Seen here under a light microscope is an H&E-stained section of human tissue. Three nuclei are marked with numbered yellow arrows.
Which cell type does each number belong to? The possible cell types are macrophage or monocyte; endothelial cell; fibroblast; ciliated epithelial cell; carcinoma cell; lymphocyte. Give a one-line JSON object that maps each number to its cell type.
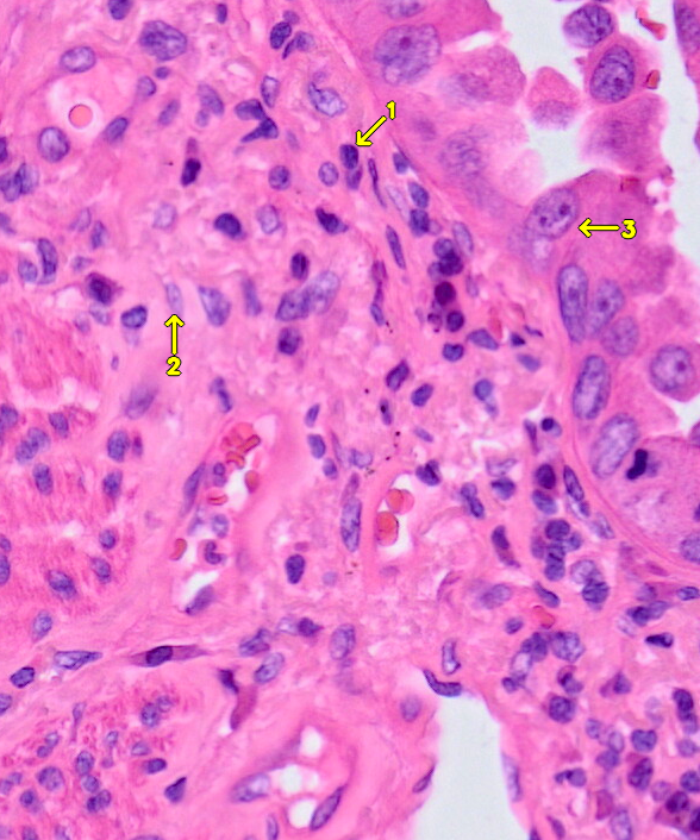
{"1": "lymphocyte", "2": "fibroblast", "3": "carcinoma cell"}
